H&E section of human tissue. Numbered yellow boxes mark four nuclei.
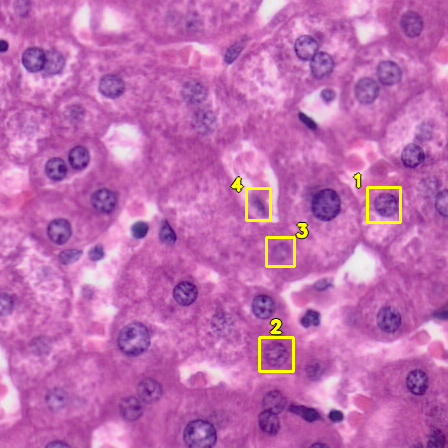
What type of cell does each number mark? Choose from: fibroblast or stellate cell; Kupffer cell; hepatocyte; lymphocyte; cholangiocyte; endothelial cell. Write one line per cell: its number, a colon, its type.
1: hepatocyte
2: hepatocyte
3: hepatocyte
4: Kupffer cell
